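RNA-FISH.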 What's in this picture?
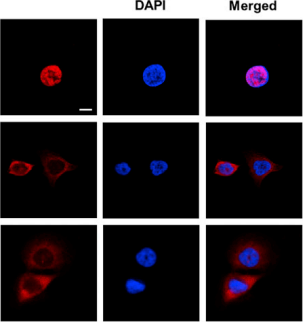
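In the top row the red signal lies over the nucleus. In the two lower rows the red signal fills the cytoplasm around a darker nucleus, and the cells have irregular, spreading outlines.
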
